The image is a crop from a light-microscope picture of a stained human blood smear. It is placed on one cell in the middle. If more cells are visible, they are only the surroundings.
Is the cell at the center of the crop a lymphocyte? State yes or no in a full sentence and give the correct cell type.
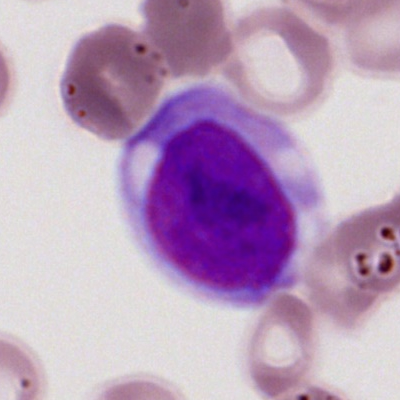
No, the cell sitting in the centre of the crop is a myeloblast, not a lymphocyte.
